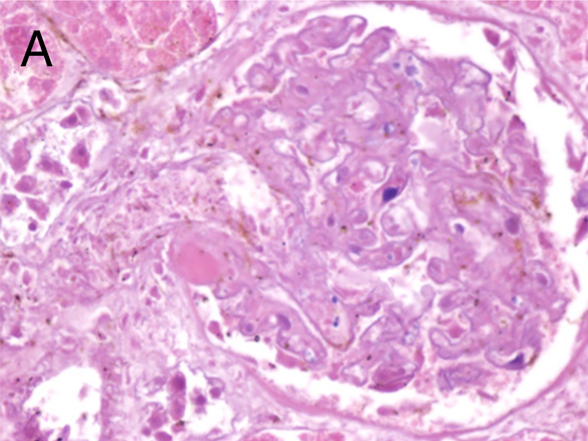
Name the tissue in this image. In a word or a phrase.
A: Glomerulus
